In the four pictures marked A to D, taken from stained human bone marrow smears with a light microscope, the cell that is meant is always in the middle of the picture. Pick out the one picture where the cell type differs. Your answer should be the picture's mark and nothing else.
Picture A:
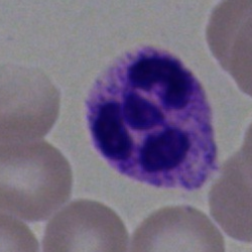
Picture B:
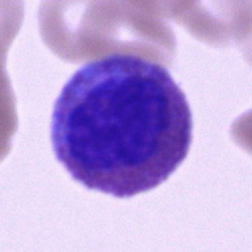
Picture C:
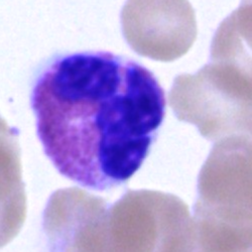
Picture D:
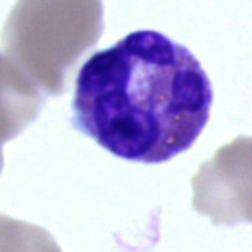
A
